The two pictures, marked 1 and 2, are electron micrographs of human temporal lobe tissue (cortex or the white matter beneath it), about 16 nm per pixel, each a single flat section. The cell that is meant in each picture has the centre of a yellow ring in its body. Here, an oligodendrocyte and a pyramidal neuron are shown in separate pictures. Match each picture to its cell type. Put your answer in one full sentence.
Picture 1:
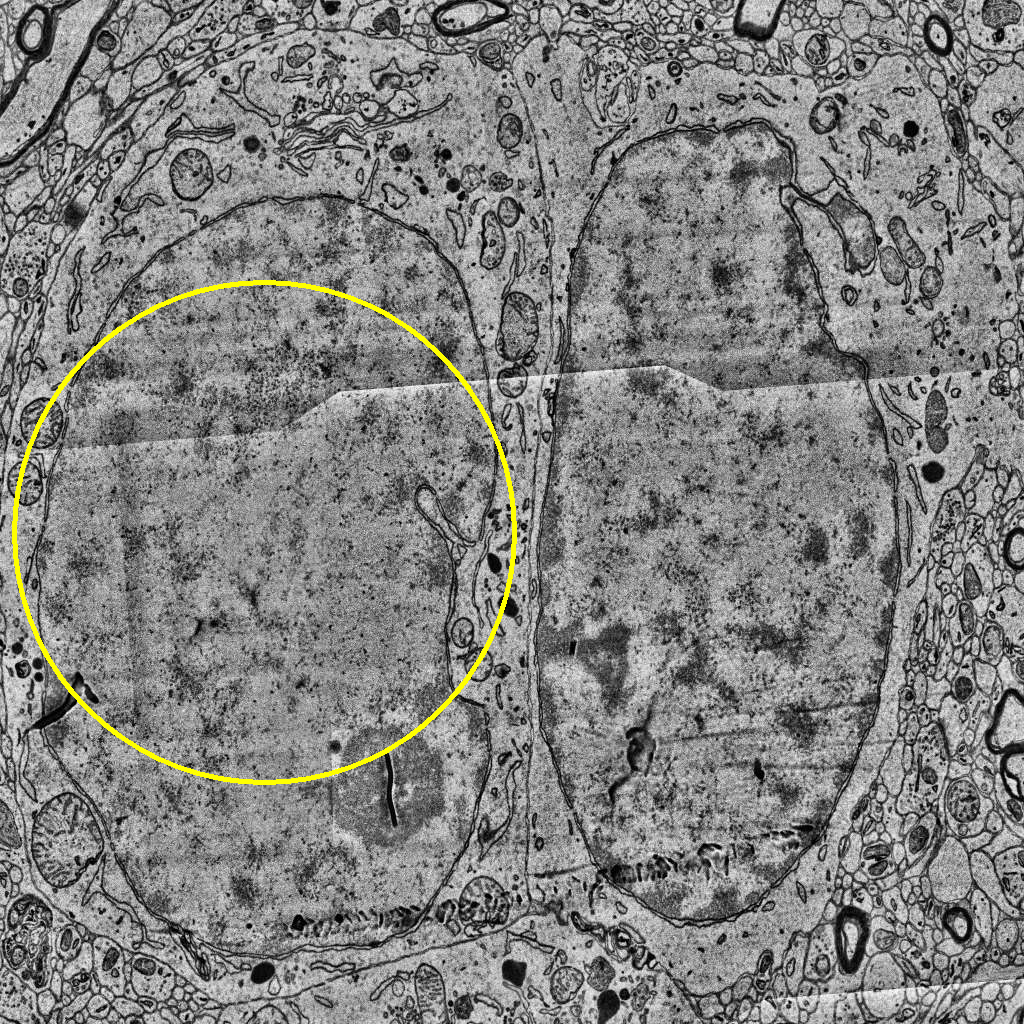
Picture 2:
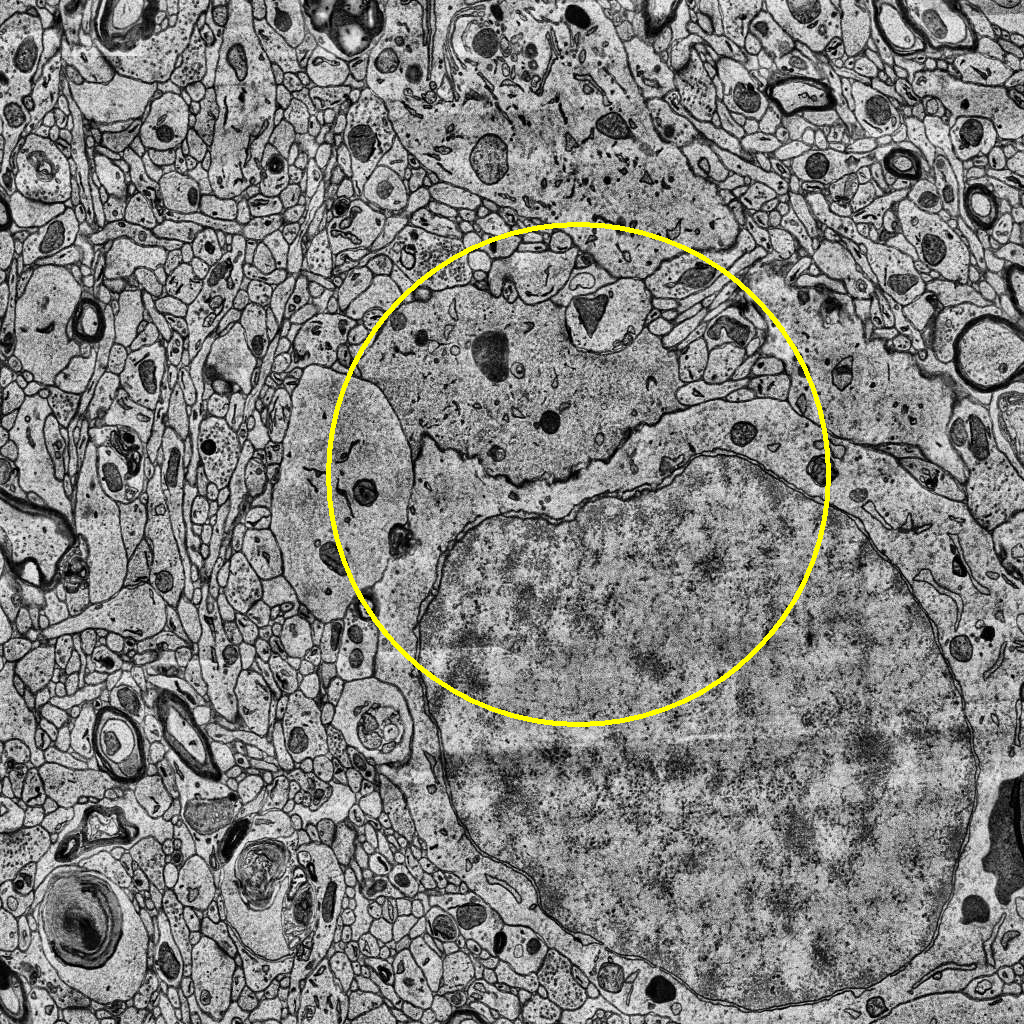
Picture 2 shows an oligodendrocyte, while picture 1 shows a pyramidal neuron.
